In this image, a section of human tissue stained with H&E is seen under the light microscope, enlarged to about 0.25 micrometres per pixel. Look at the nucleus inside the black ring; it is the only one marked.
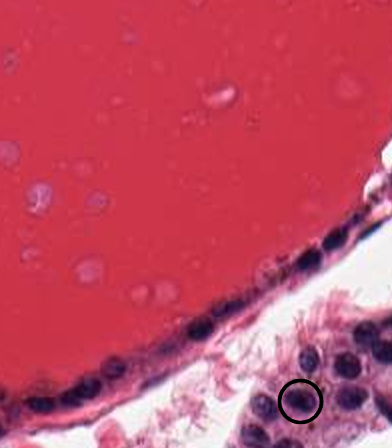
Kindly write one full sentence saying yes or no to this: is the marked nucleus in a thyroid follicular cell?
Yes, the marked nucleus represents the nucleus of a thyroid follicular cell.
